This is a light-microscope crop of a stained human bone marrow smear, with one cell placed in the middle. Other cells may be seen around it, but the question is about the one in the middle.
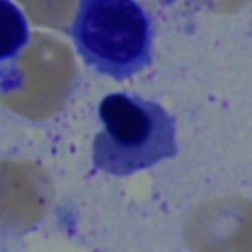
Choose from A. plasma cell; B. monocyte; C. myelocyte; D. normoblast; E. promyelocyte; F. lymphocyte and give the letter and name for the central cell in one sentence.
The cell placed in the middle is a normoblast; option D is correct.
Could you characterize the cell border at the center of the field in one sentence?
No smooth contour is present; the border is ragged or extended into projections.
